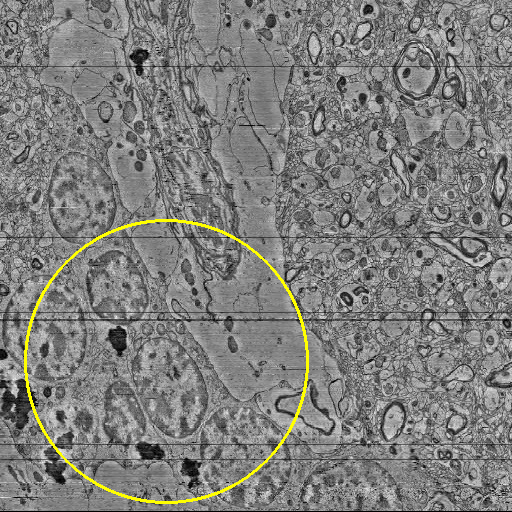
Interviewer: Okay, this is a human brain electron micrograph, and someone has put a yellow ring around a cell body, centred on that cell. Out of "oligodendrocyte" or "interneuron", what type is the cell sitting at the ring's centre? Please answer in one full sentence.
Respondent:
The cell at the centre of the yellow ring in this picture is an oligodendrocyte.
